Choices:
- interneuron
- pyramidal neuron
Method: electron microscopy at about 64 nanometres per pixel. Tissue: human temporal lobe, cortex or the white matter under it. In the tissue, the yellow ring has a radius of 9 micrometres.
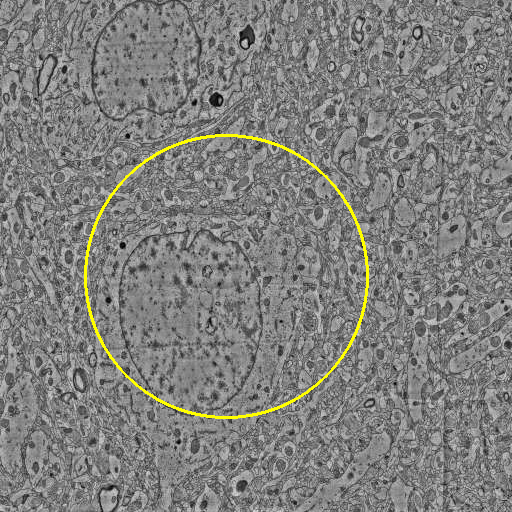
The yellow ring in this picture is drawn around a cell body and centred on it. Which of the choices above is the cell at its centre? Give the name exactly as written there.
pyramidal neuron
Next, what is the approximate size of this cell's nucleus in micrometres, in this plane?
About 12 micrometres by about 9 micrometres in this plane.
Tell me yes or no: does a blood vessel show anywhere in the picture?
No.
